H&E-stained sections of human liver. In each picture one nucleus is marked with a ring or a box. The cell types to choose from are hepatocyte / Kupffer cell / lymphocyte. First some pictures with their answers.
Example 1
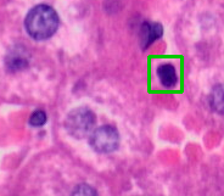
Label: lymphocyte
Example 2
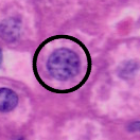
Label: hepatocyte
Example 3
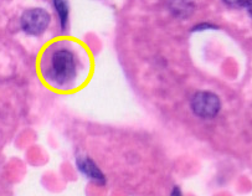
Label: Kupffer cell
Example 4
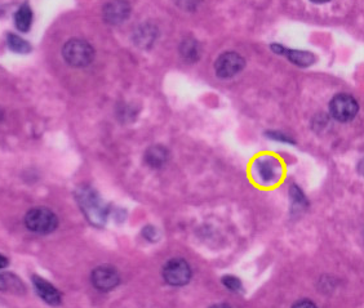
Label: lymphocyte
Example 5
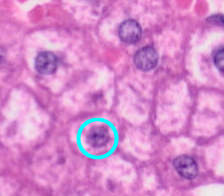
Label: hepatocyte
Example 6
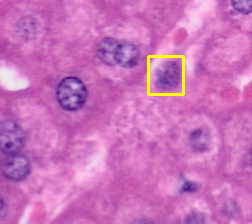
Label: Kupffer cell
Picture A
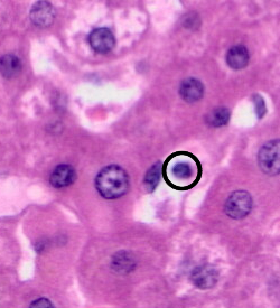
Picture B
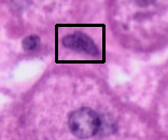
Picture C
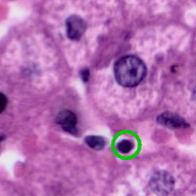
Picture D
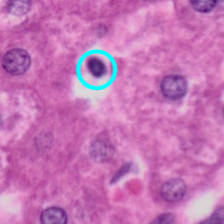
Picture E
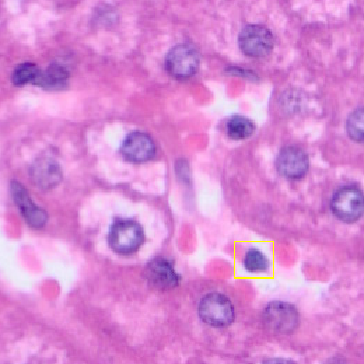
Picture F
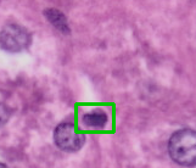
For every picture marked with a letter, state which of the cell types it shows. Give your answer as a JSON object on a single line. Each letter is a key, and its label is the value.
{"A": "lymphocyte", "B": "Kupffer cell", "C": "lymphocyte", "D": "lymphocyte", "E": "lymphocyte", "F": "lymphocyte"}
